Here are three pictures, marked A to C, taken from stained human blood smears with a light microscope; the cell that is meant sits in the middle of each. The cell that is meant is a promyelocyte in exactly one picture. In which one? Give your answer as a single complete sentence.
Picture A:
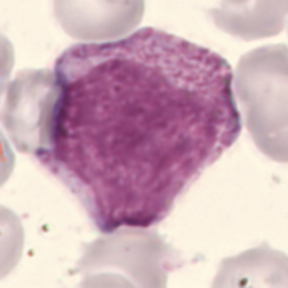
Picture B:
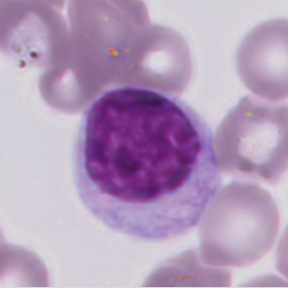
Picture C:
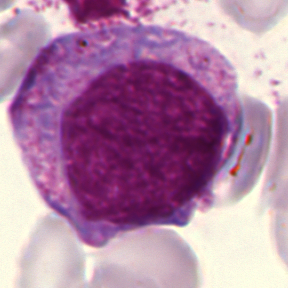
The cell in picture C is the promyelocyte.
